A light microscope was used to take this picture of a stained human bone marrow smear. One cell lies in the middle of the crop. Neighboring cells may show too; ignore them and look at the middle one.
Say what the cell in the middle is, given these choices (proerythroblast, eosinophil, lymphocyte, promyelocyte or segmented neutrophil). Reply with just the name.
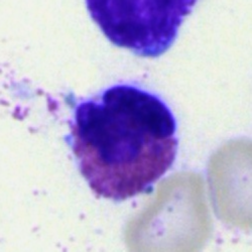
eosinophil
